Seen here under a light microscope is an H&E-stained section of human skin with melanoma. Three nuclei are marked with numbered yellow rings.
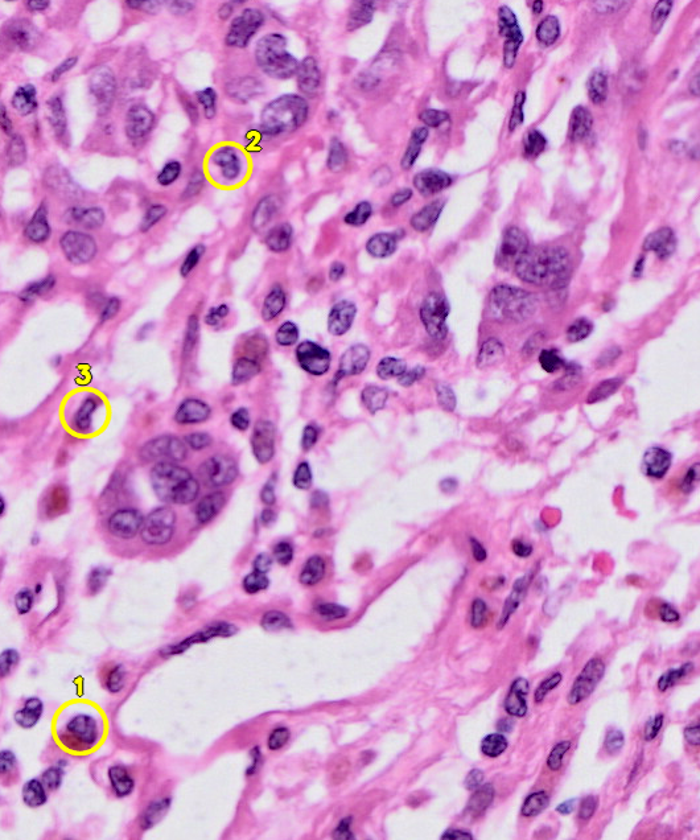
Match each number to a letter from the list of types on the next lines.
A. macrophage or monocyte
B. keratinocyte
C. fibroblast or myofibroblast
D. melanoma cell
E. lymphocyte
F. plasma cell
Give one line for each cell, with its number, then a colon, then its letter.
1: A
2: E
3: A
